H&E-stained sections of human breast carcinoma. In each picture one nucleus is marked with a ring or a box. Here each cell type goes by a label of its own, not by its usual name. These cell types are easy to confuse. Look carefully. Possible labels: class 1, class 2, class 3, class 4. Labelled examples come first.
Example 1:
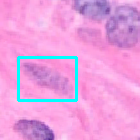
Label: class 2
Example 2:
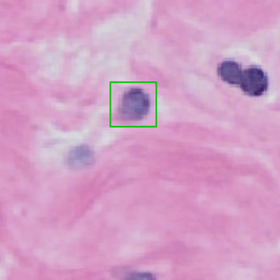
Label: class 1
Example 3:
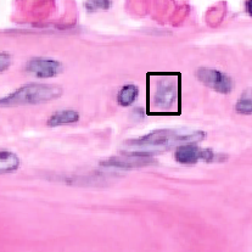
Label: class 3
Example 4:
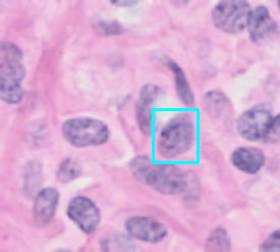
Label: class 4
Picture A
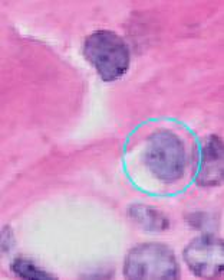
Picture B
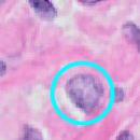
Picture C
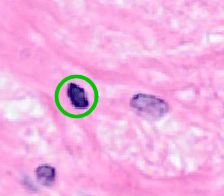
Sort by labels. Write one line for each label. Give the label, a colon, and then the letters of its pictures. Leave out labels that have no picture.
class 1: C
class 4: A, B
